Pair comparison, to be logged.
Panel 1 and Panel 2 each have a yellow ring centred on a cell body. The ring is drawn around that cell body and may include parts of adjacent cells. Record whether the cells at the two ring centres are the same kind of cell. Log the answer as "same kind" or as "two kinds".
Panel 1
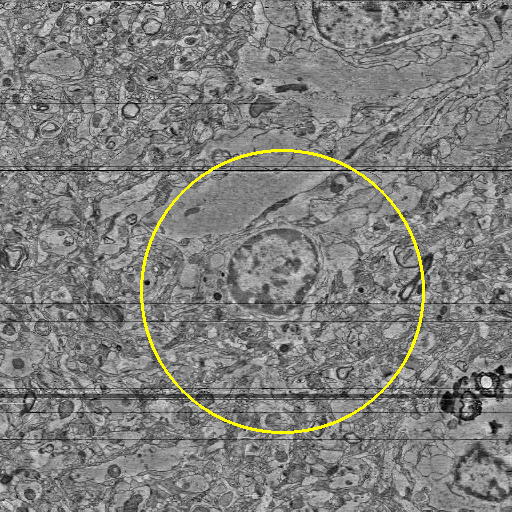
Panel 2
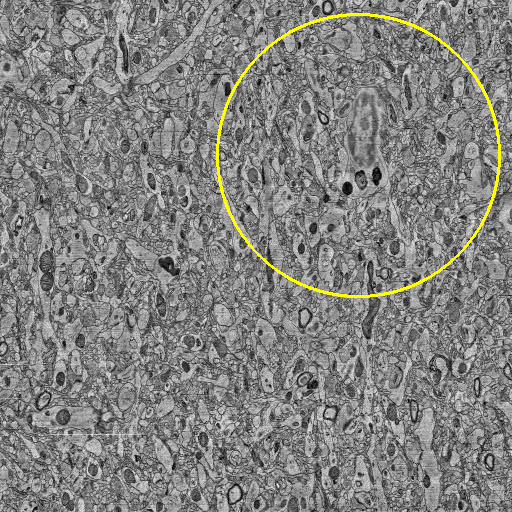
same kind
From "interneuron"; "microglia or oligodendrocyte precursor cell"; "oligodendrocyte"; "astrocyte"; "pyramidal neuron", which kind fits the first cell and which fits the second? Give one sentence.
In both pictures the ring is centred on a microglial cell or oligodendrocyte precursor cell.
